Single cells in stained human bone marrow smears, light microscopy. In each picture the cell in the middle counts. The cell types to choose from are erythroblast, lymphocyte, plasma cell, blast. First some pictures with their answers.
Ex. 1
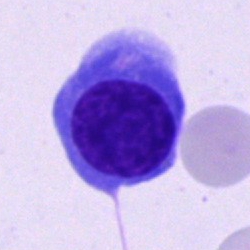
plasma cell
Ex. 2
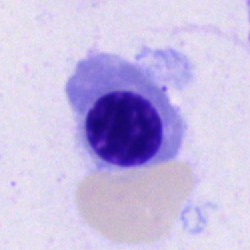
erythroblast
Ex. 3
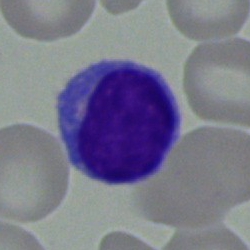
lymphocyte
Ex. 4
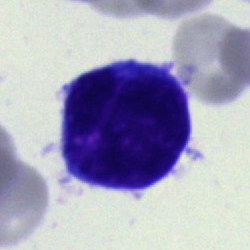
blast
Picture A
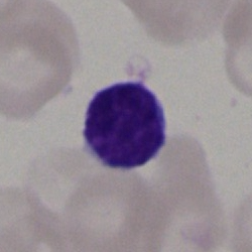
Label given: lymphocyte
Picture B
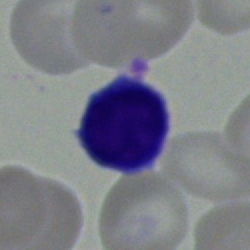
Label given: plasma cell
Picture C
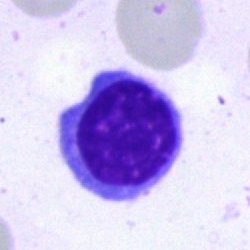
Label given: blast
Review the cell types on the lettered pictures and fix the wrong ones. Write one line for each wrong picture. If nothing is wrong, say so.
B should be lymphocyte, not plasma cell
C should be lymphocyte, not blast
